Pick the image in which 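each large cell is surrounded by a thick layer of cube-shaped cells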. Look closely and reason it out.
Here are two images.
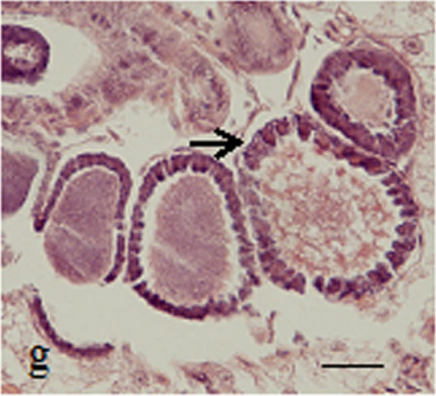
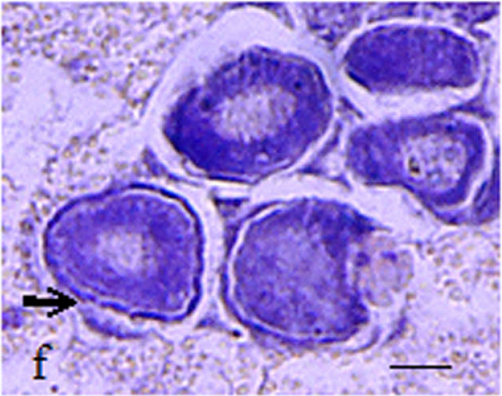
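Second image: the large rounded cells are bordered only by a thin pale rim without distinct cells. First image: the large rounded cells are ringed by a continuous row of dark, cube-shaped cells with nuclei. On this evidence: the first image.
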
